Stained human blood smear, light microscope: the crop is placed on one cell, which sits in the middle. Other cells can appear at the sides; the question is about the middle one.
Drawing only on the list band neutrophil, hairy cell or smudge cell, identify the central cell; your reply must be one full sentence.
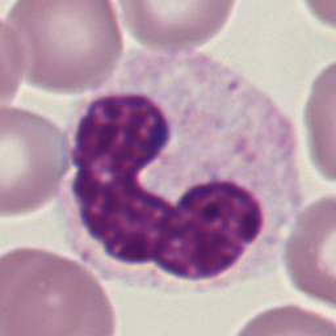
The identification for the central cell is a band neutrophil.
